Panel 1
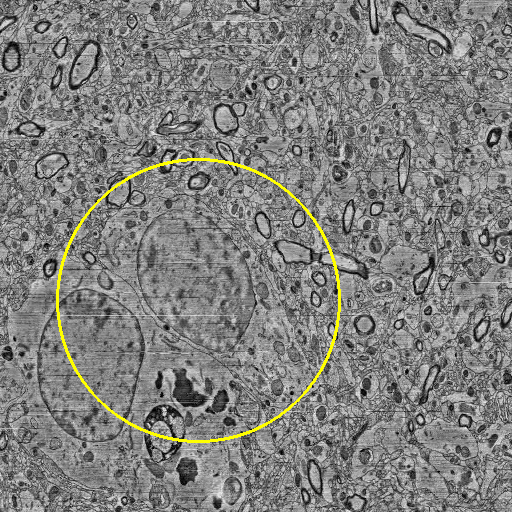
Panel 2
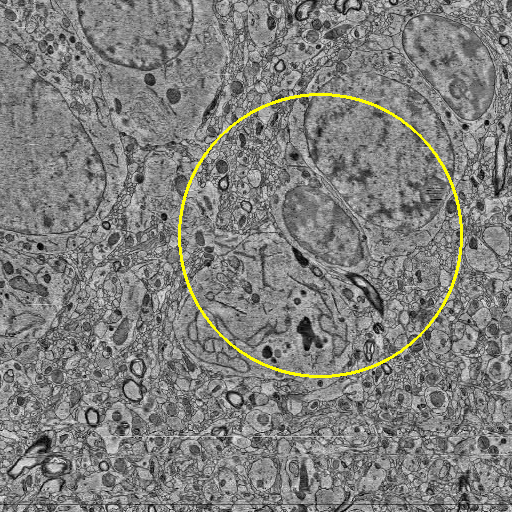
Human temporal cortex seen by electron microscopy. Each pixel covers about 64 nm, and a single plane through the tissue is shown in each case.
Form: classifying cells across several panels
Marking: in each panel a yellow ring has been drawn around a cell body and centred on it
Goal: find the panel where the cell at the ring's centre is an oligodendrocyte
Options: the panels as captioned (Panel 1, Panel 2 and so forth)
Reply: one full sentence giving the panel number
Panel 2 shows the wanted cell at the centre of its ring.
